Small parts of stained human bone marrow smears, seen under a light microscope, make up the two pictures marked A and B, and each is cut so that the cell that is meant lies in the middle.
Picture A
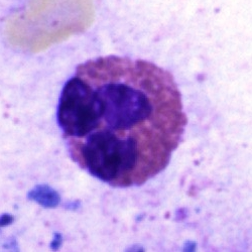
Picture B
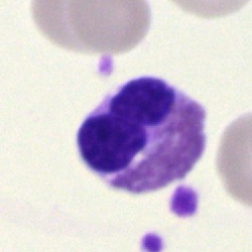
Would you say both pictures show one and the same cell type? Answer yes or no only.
yes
